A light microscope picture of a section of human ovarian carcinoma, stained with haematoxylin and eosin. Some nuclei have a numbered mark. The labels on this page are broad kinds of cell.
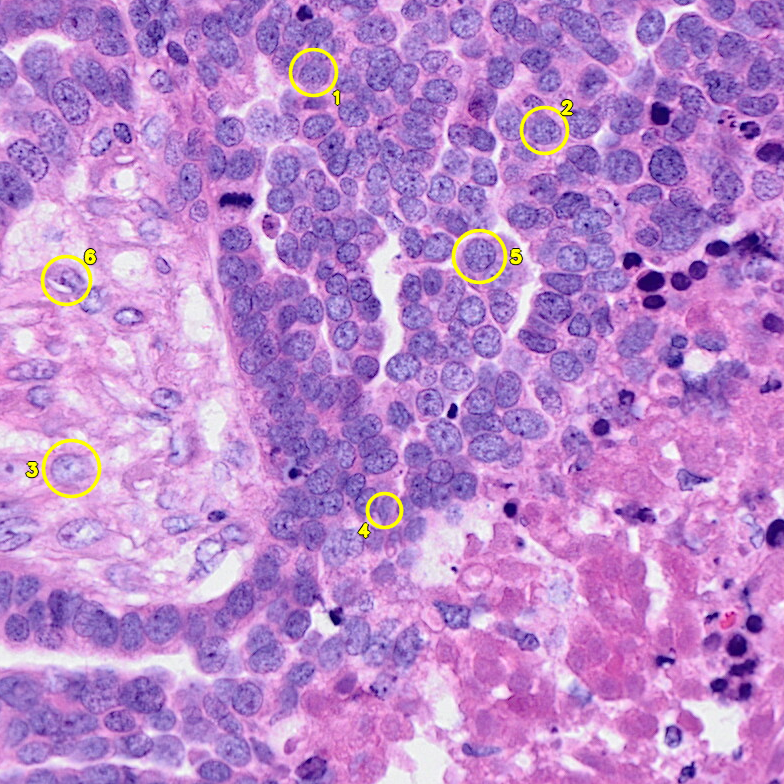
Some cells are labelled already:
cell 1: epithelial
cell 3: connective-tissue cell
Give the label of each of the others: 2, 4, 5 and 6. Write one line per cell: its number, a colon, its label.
2: epithelial
4: epithelial
5: epithelial
6: connective-tissue cell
